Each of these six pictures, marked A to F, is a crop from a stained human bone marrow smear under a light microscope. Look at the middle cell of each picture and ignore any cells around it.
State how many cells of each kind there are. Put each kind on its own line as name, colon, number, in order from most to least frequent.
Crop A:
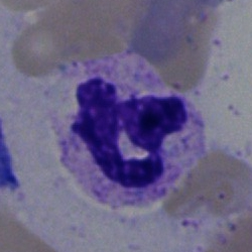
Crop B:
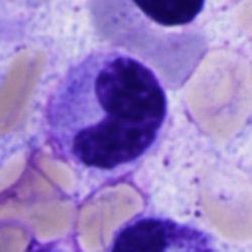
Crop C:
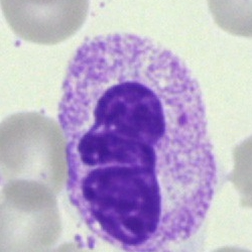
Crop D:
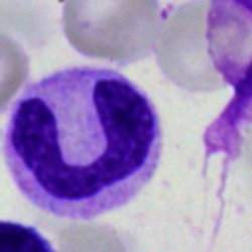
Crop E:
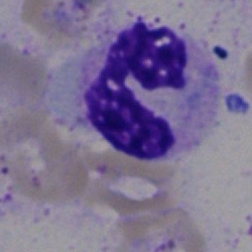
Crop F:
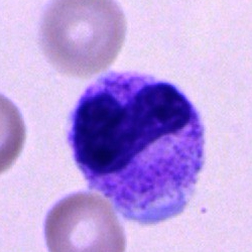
segmented neutrophil: 4
band neutrophil: 2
